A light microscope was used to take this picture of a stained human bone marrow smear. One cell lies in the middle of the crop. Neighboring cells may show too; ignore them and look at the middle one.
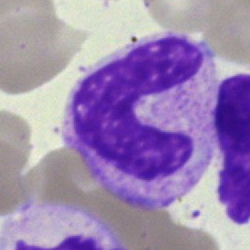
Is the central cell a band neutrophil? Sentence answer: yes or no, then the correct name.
Yes, a band neutrophil occupies the middle of the crop.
